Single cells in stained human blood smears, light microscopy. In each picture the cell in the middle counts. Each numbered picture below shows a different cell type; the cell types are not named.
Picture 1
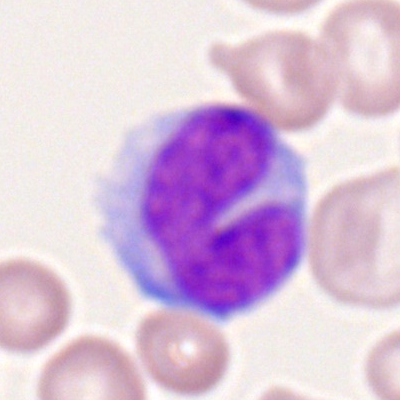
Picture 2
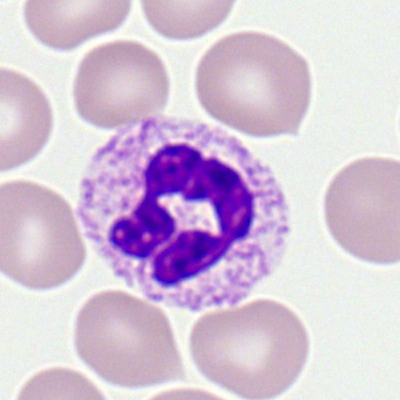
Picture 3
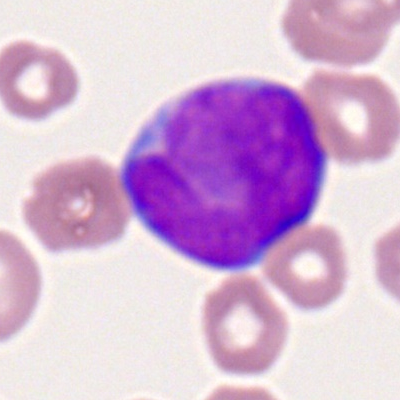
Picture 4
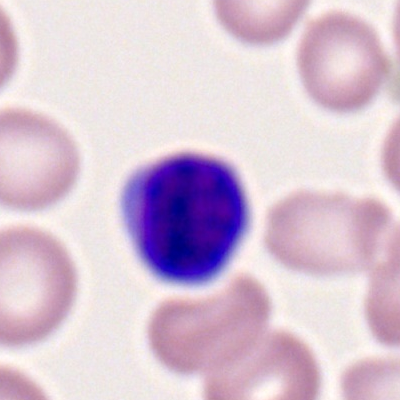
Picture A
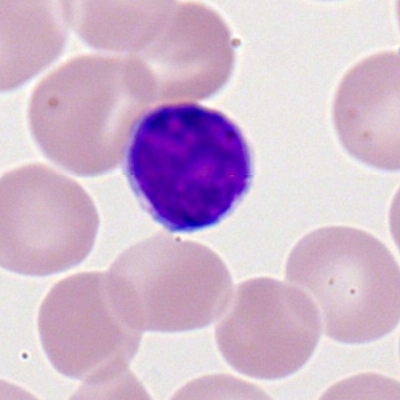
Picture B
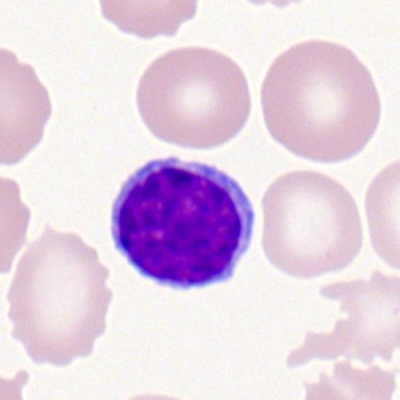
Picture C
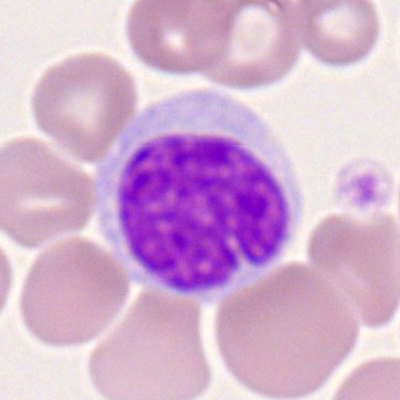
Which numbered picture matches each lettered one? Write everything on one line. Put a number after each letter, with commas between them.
A 4, B 4, C 1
